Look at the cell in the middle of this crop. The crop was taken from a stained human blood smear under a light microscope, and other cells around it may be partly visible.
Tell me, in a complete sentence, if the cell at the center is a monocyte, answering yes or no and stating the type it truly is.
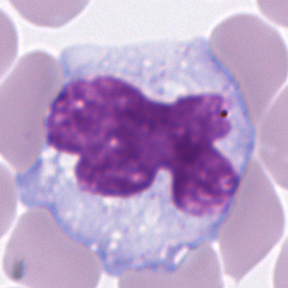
Yes, the cell in the central position is a monocyte.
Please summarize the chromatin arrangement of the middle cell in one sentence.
The chromatin pattern is fine and free of coarse clumps.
